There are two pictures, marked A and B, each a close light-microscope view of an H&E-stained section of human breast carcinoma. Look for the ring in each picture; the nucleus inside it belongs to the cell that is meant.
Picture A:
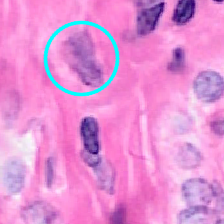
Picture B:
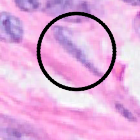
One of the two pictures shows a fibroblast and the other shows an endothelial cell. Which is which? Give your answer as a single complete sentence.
Picture B shows an endothelial cell, while picture A shows a fibroblast.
